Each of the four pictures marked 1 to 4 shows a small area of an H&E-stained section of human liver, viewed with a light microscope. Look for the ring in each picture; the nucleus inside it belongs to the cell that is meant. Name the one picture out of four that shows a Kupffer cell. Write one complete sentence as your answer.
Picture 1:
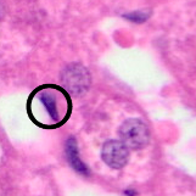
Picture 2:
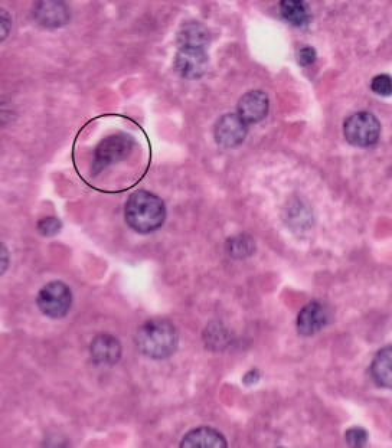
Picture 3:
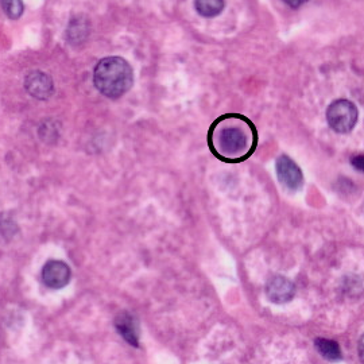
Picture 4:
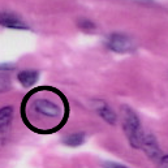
The cell in picture 2 is the Kupffer cell.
